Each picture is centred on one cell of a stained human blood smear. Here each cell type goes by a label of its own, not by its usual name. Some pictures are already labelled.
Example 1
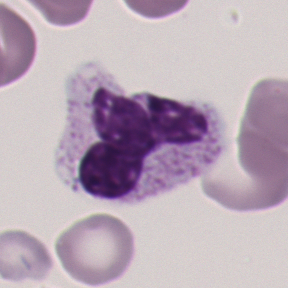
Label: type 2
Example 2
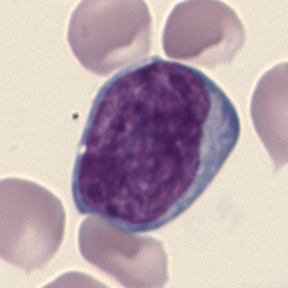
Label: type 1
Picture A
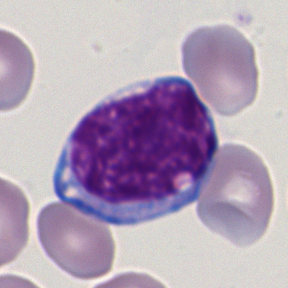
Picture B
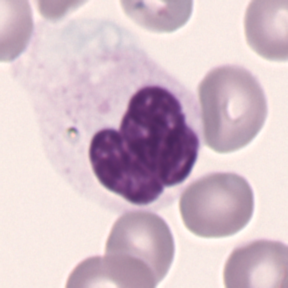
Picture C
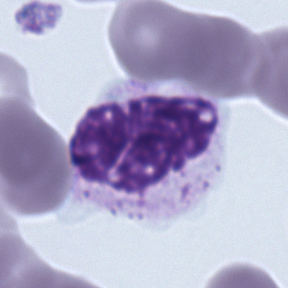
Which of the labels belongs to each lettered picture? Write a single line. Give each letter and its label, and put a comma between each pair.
A type 1, B type 2, C type 2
